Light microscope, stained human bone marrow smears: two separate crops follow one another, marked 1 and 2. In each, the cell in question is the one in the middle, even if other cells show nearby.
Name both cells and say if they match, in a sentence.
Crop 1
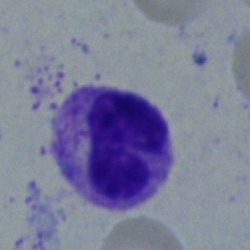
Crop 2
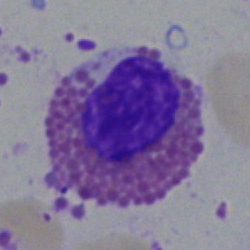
No, crop 1 should be called a band neutrophil, and crop 2 should be called an eosinophil.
